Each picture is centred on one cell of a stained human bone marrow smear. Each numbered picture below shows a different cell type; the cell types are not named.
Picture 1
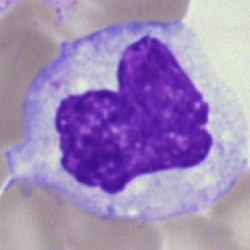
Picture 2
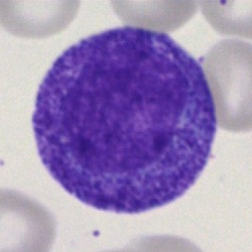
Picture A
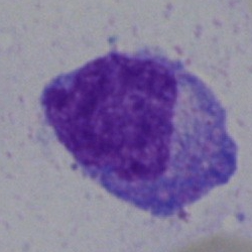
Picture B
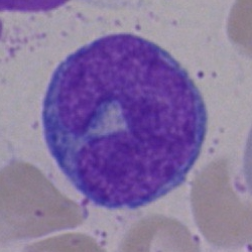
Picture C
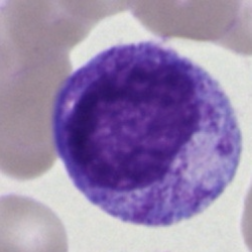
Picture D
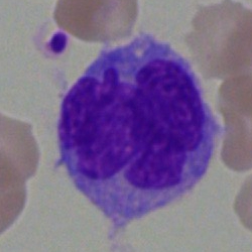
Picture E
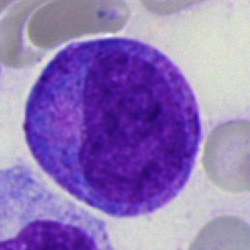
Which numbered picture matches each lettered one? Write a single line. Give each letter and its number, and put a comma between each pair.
A 2, B 1, C 2, D 1, E 2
